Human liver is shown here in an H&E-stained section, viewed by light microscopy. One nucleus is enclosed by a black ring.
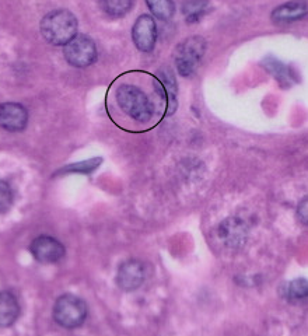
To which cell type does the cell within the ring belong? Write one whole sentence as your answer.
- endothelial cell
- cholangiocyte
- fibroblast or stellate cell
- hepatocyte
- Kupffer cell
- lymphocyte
The cell meant here is a cholangiocyte.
